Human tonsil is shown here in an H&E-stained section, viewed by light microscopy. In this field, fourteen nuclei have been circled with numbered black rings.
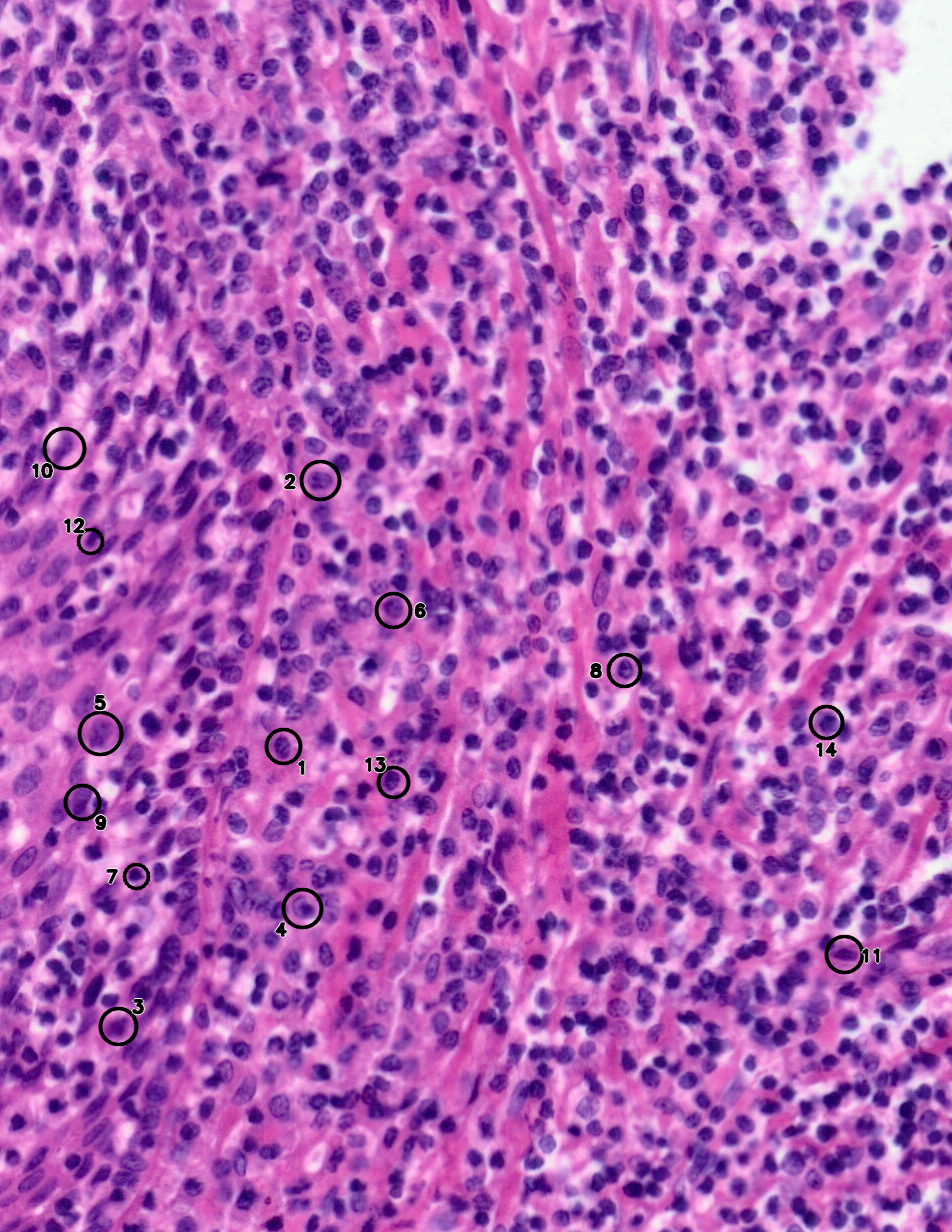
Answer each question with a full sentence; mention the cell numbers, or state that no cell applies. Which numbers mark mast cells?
Only cell 14 should be marked as a mast cell.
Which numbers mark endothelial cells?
Only the cell numbered 11 qualifies as an endothelial cell among the marked cells.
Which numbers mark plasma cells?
The cells that have been numbered 1, 2, 4, 6, 8 and 13 are plasma cells.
